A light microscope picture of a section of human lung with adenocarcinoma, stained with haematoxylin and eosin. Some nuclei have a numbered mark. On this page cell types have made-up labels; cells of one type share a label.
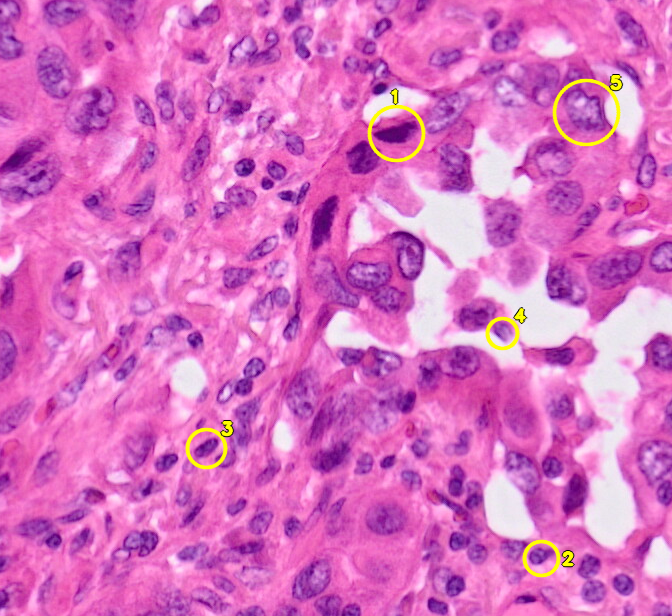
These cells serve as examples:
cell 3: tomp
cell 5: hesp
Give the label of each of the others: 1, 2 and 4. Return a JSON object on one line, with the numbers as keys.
{"1": "hesp", "2": "tomp", "4": "tomp"}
